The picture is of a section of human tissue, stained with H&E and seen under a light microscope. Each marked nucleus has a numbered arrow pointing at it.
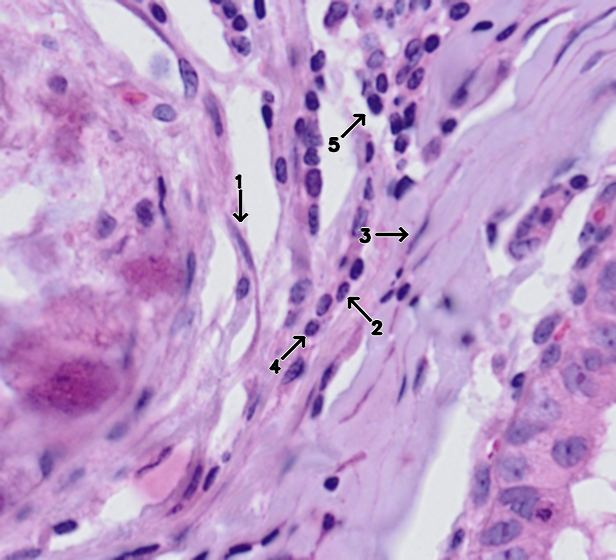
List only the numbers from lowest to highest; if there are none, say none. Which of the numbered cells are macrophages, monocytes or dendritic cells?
none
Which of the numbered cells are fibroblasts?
1, 3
